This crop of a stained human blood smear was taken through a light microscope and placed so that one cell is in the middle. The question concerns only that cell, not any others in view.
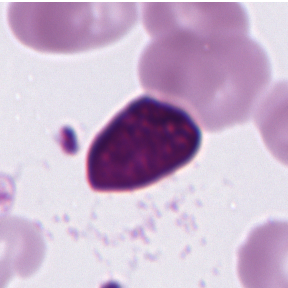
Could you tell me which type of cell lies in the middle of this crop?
smudge cell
